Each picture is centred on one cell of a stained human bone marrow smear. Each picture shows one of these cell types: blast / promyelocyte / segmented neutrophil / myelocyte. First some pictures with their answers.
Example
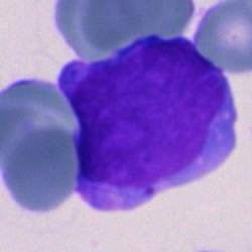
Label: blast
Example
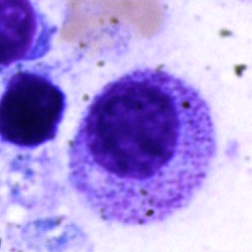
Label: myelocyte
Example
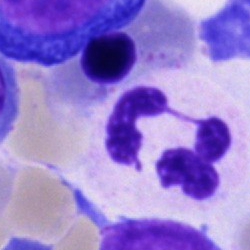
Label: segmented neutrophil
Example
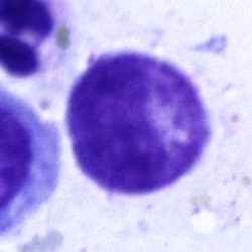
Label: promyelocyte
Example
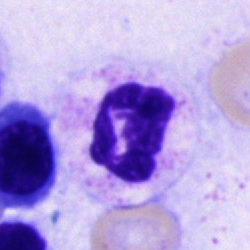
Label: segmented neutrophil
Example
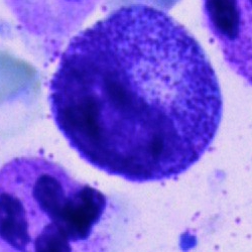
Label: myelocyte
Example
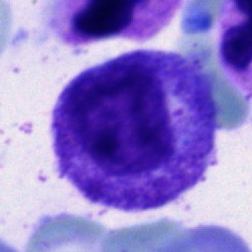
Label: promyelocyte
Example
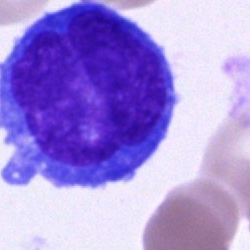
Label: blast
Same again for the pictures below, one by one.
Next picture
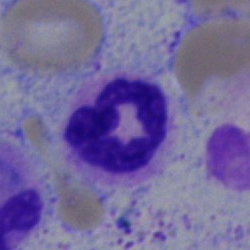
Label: segmented neutrophil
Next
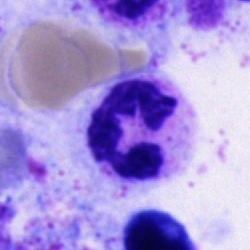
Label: segmented neutrophil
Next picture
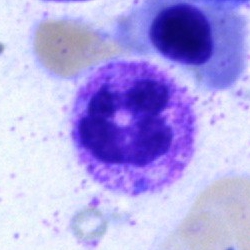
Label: segmented neutrophil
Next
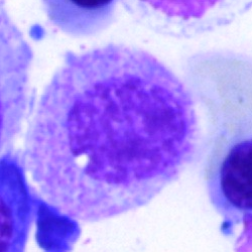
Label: myelocyte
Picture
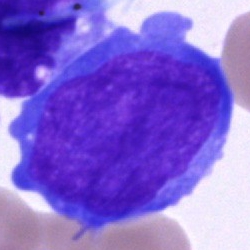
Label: blast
